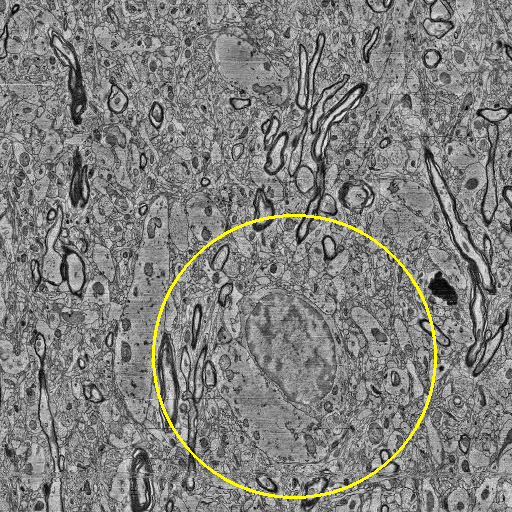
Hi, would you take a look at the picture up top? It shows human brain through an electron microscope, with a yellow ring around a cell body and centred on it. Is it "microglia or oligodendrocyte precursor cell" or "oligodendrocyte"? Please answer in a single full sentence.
The best fit for the cell in the middle of the ring is an oligodendrocyte, I reckon.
